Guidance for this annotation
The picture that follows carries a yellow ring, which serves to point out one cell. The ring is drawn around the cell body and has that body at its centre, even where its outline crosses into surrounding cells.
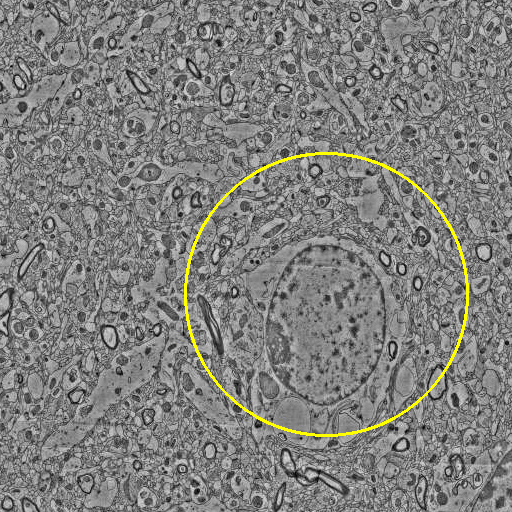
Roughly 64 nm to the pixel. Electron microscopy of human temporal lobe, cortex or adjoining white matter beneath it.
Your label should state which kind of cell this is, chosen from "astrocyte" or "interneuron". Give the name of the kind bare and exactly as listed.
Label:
astrocyte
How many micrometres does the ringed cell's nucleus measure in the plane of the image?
The nucleus has a long axis of about 10 micrometres and a short axis of about 8 micrometres in this plane.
